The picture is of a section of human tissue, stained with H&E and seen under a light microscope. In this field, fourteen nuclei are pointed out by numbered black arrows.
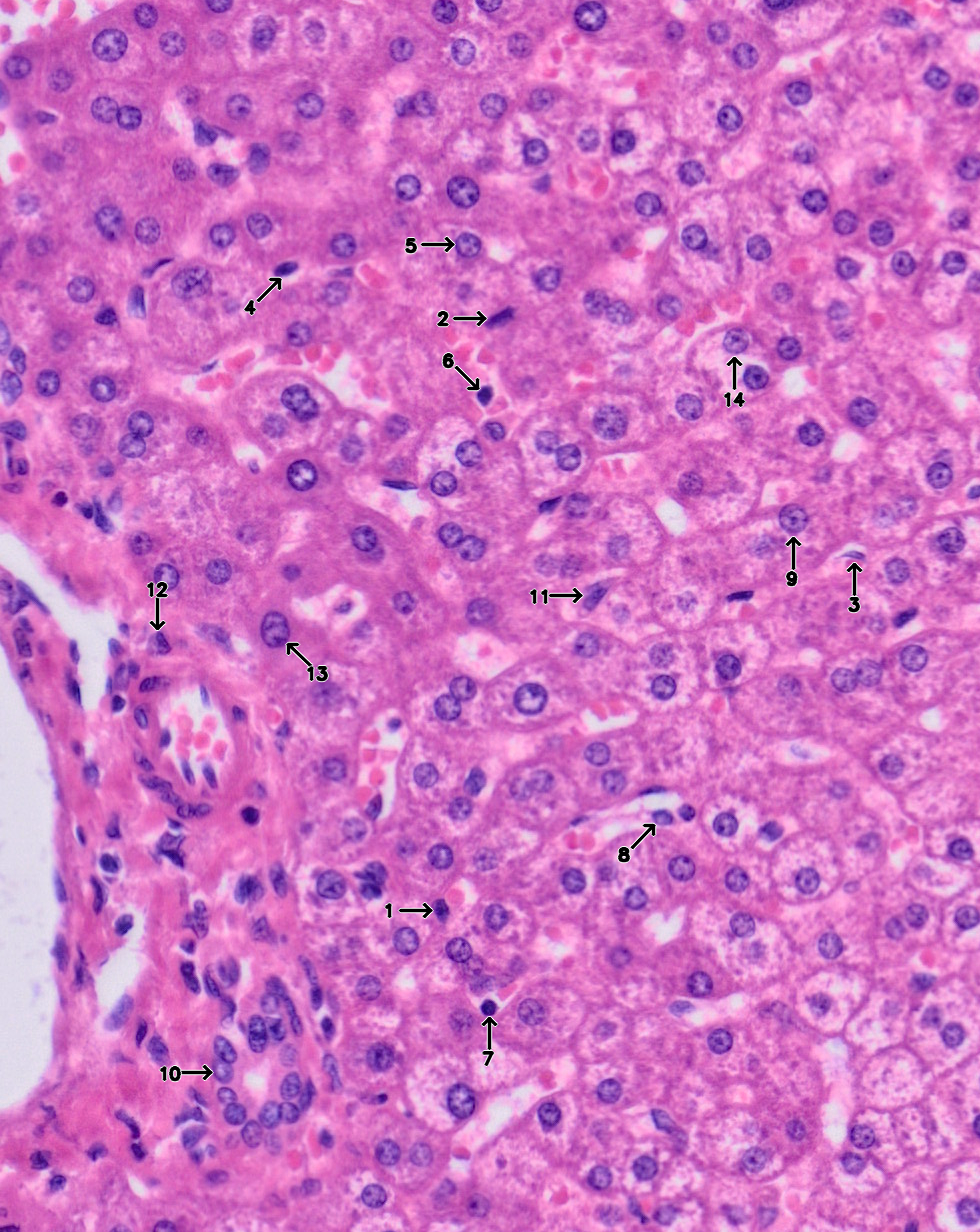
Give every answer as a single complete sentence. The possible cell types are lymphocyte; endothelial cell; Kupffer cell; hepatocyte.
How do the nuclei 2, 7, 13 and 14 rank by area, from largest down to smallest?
Going from the biggest nucleus down to the smallest gives 13, 14, 2, 7.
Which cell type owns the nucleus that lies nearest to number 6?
The nucleus nearest to number 6 is that of a Kupffer cell.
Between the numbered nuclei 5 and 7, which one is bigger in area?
Nucleus 5 covers more area, about 2.5 times as much as nucleus 7.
